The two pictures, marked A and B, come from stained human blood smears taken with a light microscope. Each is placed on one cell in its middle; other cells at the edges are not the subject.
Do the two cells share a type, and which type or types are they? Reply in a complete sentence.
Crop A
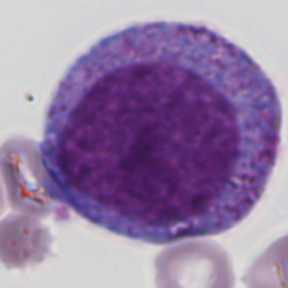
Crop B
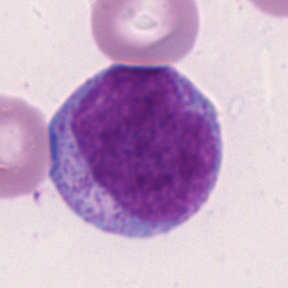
Yes, both crops show promyelocytes, the one and the other.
